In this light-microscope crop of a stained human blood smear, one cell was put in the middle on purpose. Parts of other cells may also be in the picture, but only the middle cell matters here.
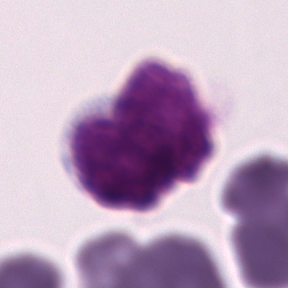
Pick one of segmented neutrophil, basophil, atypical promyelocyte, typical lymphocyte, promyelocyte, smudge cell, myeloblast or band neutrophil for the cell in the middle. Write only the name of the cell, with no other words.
smudge cell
